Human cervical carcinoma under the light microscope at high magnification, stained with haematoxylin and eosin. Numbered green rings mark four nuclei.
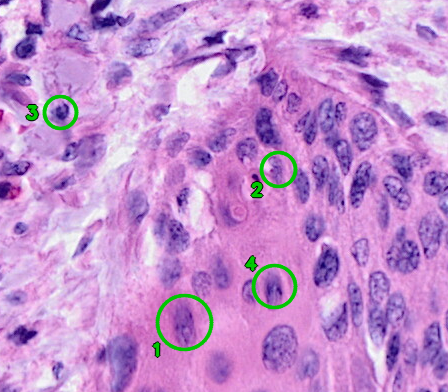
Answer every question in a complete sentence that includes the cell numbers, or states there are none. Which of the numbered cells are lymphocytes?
Cell 3 is a lymphocyte; no further numbered cell is.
